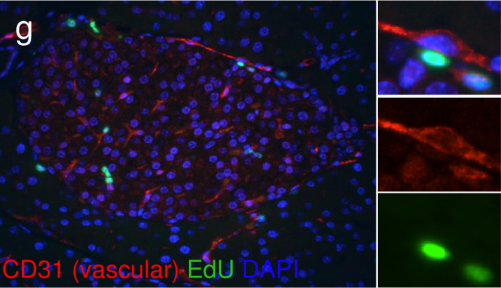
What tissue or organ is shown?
islets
